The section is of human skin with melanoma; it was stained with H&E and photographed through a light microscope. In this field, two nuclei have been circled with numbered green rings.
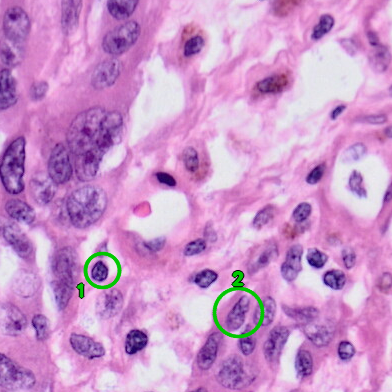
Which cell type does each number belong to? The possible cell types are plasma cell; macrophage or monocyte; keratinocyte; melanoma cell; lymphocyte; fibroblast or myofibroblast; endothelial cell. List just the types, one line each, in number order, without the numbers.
lymphocyte
melanoma cell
